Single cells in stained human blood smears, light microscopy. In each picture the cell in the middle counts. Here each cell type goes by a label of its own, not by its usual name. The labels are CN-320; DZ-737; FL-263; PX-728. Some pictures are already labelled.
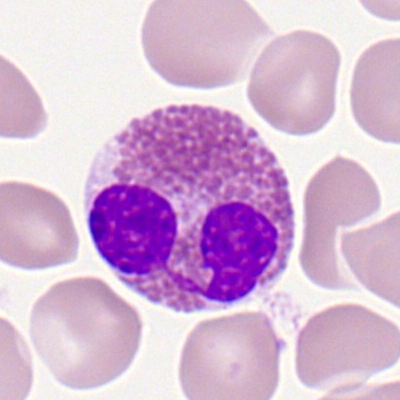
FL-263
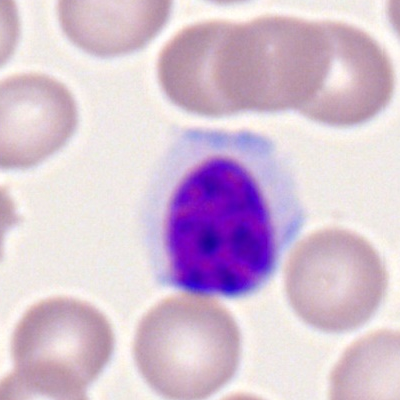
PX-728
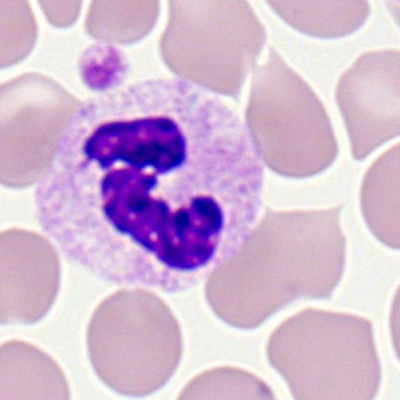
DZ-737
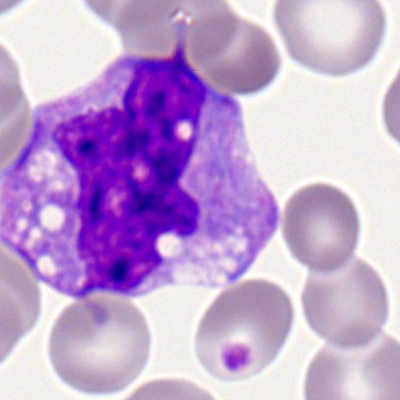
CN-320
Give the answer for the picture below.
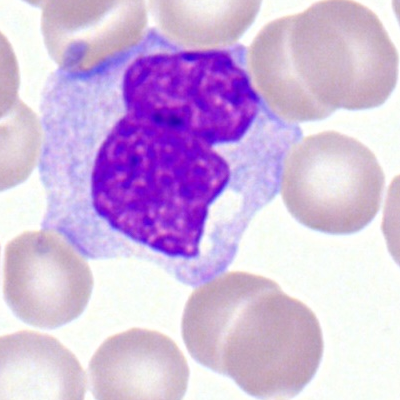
CN-320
